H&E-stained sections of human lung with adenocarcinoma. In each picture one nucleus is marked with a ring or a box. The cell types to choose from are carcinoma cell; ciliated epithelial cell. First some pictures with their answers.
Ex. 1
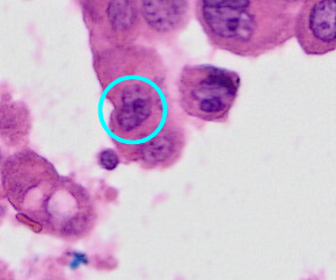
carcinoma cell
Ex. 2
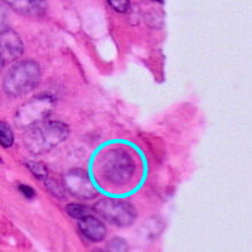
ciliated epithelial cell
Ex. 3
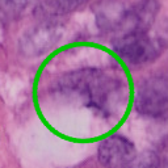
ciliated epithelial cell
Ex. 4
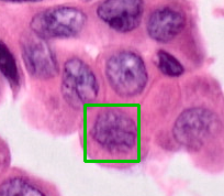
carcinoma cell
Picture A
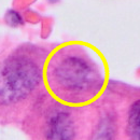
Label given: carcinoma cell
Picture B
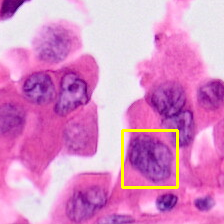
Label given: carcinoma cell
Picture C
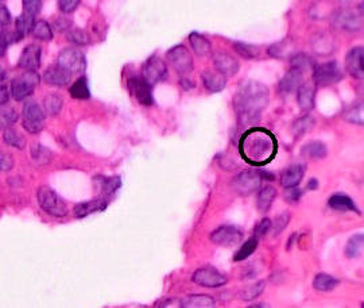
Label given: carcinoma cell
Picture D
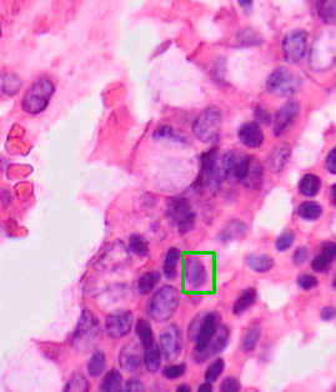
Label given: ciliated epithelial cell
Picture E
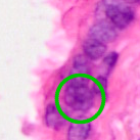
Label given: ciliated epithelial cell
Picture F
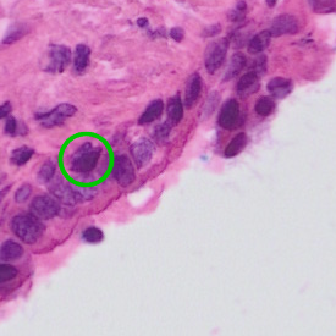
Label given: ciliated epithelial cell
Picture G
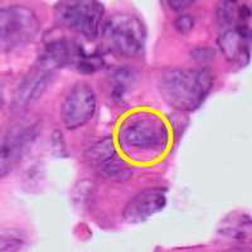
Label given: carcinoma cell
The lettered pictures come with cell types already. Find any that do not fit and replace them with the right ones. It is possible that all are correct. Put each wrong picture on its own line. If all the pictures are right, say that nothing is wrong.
C: not carcinoma cell but ciliated epithelial cell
